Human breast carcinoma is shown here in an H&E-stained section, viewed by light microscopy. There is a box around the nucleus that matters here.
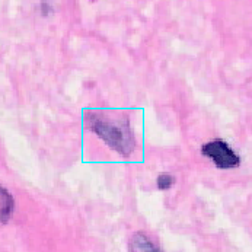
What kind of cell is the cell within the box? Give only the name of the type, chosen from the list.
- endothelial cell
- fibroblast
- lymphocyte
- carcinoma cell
fibroblast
